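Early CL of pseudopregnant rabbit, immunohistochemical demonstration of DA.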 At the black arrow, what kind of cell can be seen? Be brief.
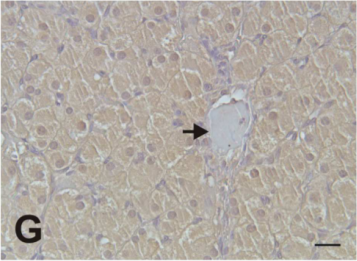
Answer: Endothelial cells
